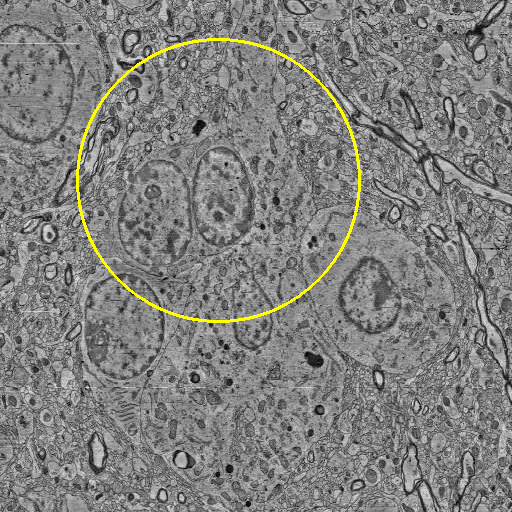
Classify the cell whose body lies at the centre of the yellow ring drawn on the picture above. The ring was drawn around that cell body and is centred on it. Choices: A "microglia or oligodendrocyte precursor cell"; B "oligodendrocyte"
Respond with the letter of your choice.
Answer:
B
